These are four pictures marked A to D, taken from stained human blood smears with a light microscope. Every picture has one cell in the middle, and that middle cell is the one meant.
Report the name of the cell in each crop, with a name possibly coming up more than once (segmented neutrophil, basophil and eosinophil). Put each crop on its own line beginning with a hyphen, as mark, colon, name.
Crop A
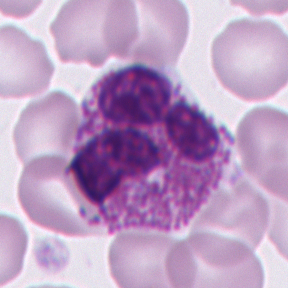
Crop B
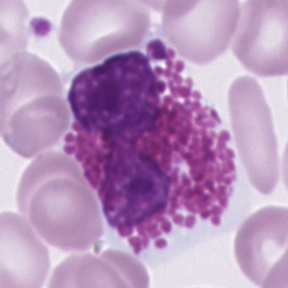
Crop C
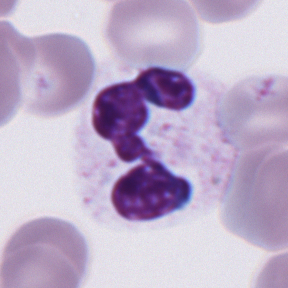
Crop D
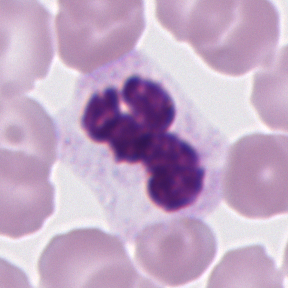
- A: eosinophil
- B: eosinophil
- C: segmented neutrophil
- D: segmented neutrophil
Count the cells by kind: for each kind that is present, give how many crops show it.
eosinophil: 2
segmented neutrophil: 2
